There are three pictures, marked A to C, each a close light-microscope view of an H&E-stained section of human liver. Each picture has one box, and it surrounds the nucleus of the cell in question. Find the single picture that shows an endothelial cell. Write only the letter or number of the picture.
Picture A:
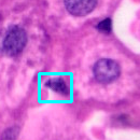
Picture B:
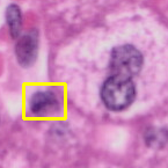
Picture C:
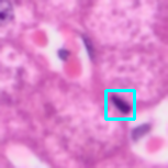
A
